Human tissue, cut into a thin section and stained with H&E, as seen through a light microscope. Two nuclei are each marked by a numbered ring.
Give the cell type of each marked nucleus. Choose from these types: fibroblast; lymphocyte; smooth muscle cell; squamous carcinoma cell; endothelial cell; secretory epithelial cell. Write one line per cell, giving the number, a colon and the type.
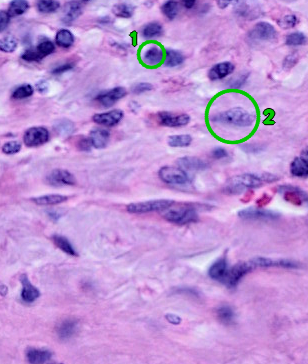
1: lymphocyte
2: fibroblast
